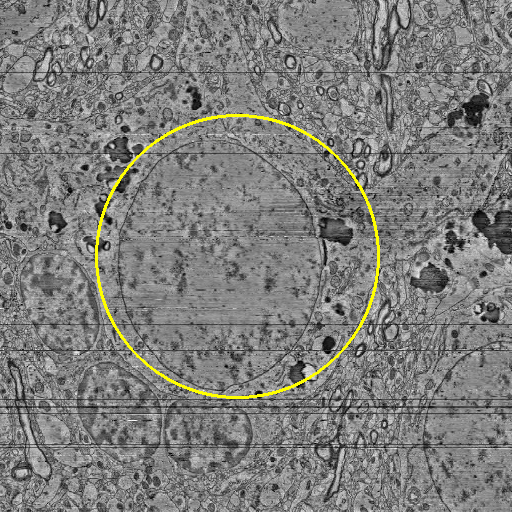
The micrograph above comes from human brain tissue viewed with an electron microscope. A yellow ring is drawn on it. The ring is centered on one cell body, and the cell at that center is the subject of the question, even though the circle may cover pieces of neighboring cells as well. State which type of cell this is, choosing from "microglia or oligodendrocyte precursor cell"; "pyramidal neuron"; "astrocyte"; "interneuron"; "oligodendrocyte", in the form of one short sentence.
The cell the ring is centered on is a pyramidal neuron.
